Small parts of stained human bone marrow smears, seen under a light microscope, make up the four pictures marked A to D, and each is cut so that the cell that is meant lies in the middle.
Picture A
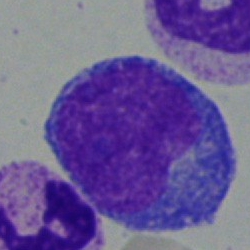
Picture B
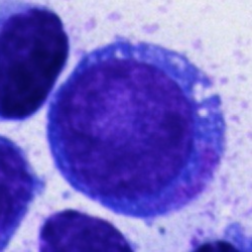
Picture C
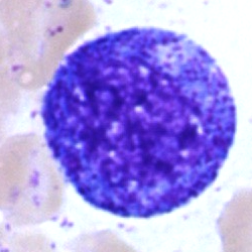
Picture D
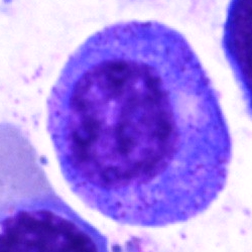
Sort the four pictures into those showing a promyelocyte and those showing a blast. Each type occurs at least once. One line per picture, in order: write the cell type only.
blast
blast
promyelocyte
promyelocyte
